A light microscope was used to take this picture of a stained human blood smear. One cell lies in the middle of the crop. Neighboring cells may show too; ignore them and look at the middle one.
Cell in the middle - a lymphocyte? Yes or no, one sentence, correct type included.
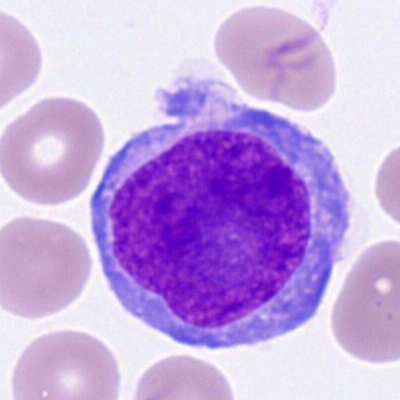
No, rather than being a lymphocyte, the central cell is a myeloblast.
